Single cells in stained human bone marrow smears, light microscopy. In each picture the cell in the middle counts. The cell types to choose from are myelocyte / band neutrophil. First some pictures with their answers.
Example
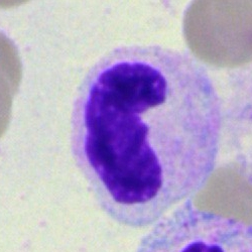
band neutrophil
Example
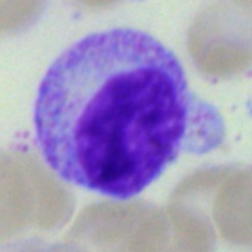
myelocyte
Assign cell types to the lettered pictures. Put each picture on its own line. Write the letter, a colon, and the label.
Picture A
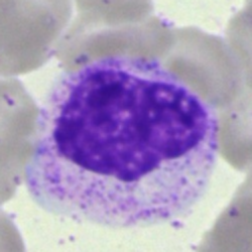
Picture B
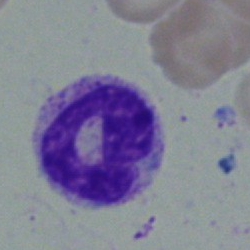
A: myelocyte
B: band neutrophil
